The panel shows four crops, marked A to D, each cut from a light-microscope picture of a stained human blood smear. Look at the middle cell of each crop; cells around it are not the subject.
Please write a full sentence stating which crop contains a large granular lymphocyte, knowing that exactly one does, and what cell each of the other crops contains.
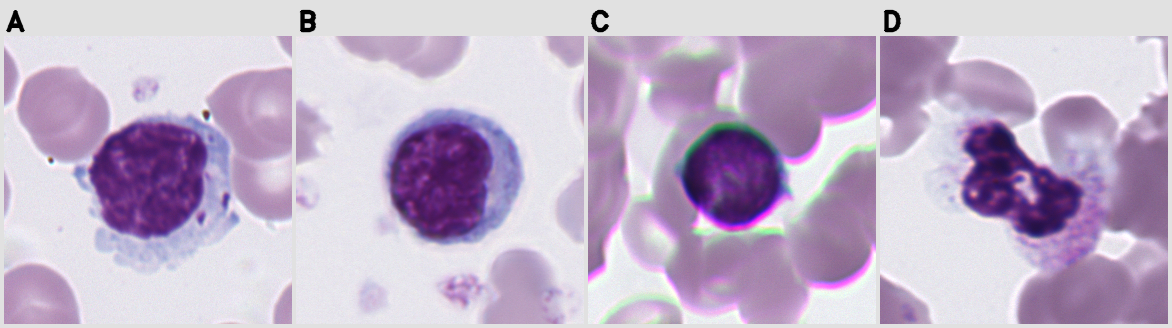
In the set, crop A shows a large granular lymphocyte, whereas crop B is a plasma cell, crop C is a typical lymphocyte and crop D is a neutrophil.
